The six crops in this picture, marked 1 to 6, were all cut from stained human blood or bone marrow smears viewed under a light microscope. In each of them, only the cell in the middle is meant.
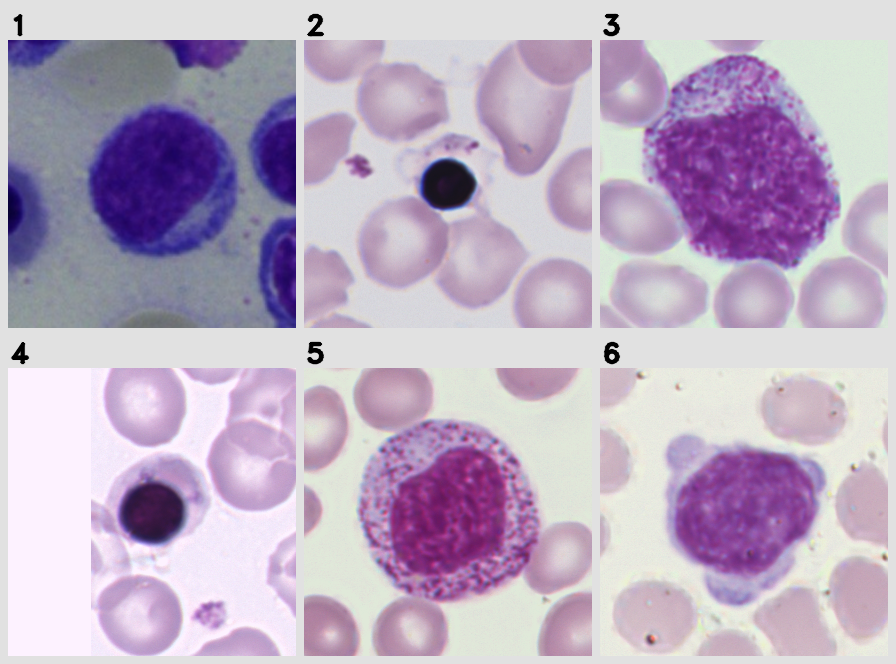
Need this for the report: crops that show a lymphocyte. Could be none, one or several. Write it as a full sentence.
Only crop 1 in this group of crops shows a lymphocyte.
